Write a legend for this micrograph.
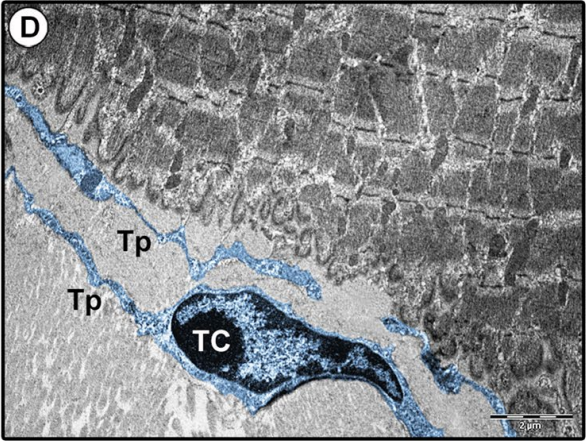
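An interstitial cell with long, thin processes lies in the space beside a skeletal muscle fiber. Its cell body is oval to pear-shaped and is mostly taken up by a dark nucleus with a thin rim of cytoplasm. From its ends, very thin cytoplasmic prolongations run a long way, alternating narrow segments with small dilated portions, giving a beaded outline. The processes run roughly parallel to the surface of the muscle fiber, close to it. The muscle fiber above shows banded myofibrils with regular transverse lines, and its border toward the interstitium is irregular with finger-like projections. Pale fibrillar matrix fills the interstitium.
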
